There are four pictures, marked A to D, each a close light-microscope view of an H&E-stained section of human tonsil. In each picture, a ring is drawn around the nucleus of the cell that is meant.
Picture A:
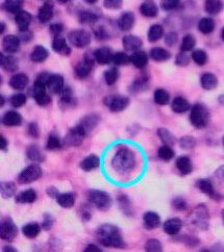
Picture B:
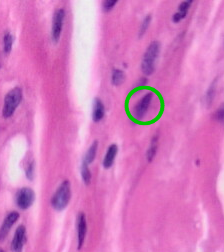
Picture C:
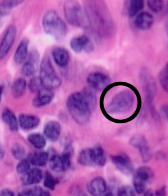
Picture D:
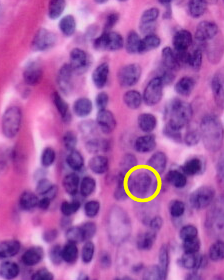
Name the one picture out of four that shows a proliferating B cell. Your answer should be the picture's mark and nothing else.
A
